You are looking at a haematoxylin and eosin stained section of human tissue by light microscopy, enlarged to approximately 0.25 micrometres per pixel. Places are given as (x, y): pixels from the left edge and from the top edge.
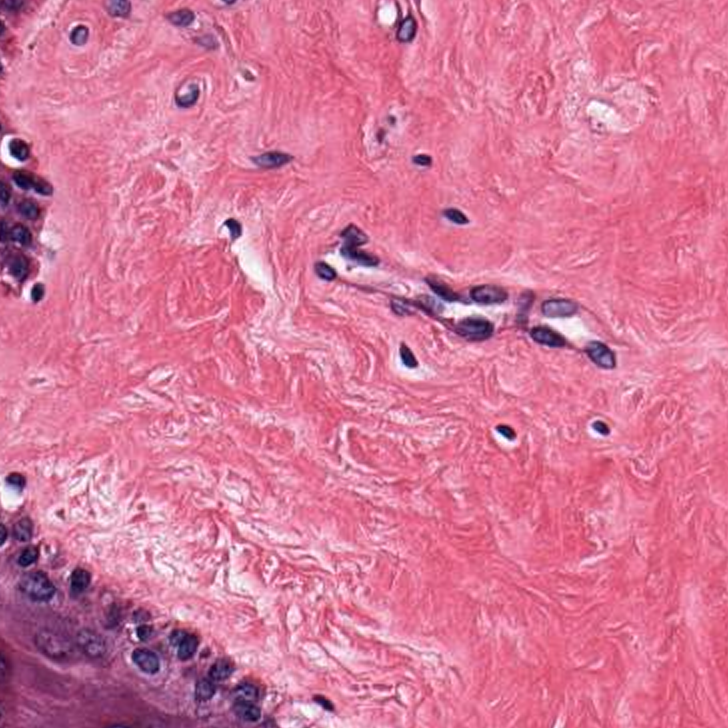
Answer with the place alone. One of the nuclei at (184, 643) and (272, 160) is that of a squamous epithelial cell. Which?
(184, 643)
